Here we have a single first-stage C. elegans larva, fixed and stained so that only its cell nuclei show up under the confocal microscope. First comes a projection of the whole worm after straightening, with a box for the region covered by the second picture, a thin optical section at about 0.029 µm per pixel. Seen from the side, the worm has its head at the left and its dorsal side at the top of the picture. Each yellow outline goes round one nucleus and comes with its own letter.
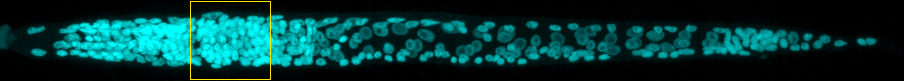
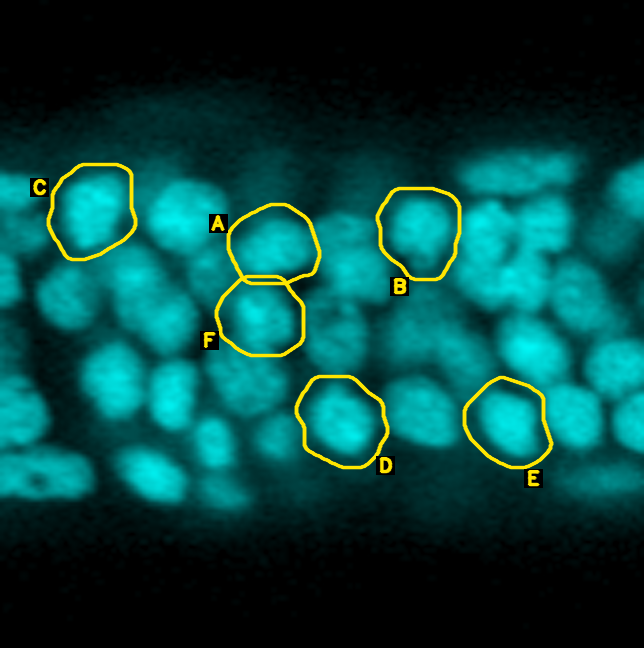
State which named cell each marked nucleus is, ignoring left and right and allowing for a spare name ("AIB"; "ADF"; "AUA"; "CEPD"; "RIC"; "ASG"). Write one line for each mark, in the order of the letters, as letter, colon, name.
A: ADF
B: ASG
C: CEPD
D: AUA
E: RIC
F: AIB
